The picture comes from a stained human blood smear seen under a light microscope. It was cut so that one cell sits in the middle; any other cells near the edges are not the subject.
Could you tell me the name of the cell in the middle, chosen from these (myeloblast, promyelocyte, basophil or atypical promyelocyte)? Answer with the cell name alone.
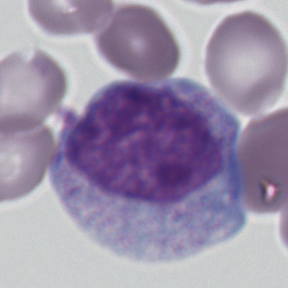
promyelocyte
